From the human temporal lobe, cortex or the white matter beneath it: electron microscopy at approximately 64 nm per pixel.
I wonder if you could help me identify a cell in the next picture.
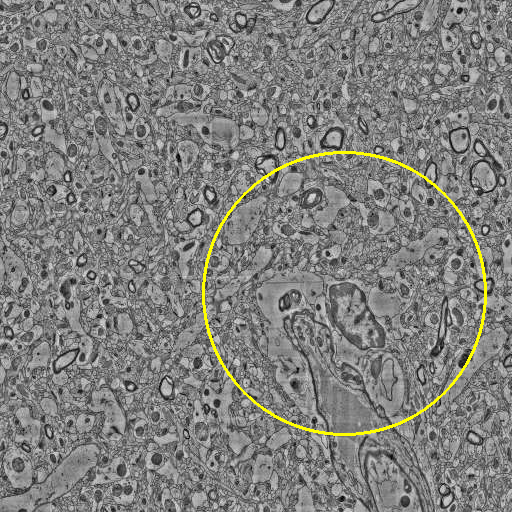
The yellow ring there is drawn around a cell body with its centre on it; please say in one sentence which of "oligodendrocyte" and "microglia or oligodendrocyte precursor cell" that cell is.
The yellow ring is centred on a microglial cell or oligodendrocyte precursor cell.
